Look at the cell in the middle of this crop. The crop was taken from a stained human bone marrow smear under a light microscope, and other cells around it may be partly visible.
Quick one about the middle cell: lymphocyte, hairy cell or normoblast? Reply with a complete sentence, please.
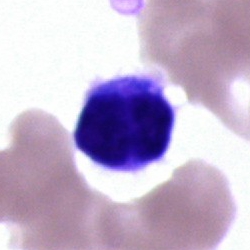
The identification for the central cell is a lymphocyte.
